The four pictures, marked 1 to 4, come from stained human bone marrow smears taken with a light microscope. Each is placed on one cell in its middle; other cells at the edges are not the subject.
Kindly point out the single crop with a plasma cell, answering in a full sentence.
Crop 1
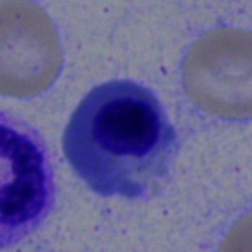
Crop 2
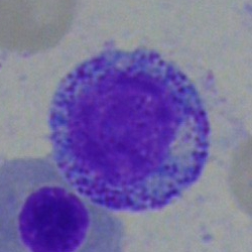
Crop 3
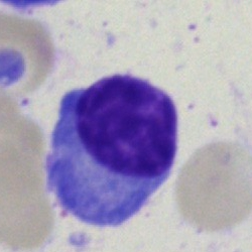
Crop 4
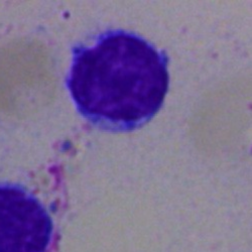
Crop 3 is the one in this set that shows a plasma cell.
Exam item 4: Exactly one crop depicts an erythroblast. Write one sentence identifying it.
Of the cells presented, the one in crop 1 is an erythroblast.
